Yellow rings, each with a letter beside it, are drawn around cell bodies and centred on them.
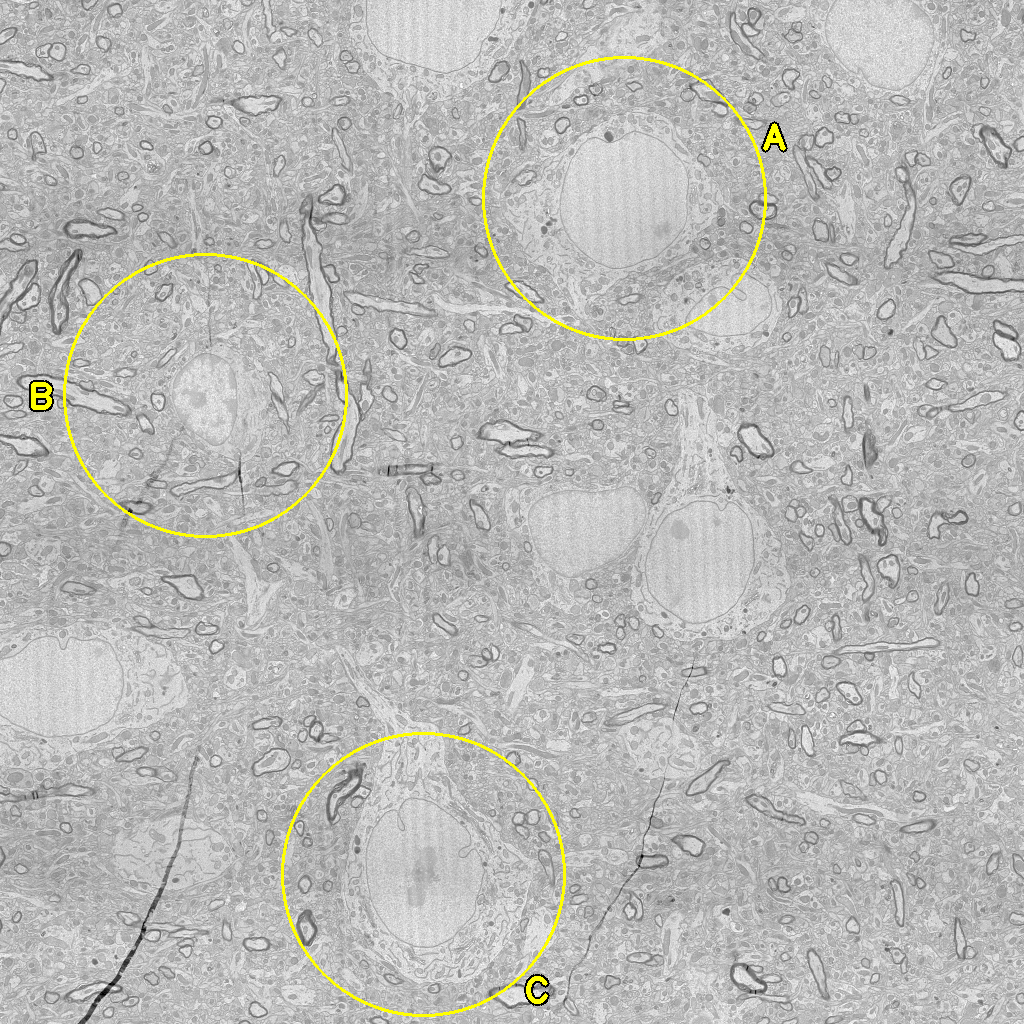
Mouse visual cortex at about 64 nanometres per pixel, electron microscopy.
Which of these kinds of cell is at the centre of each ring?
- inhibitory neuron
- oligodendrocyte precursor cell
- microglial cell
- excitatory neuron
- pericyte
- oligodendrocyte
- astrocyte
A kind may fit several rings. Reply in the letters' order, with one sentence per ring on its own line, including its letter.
The cell in the middle of ring A is an excitatory neuron.
The cell in the middle of ring B is an oligodendrocyte.
The cell in the middle of ring C is an inhibitory neuron.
